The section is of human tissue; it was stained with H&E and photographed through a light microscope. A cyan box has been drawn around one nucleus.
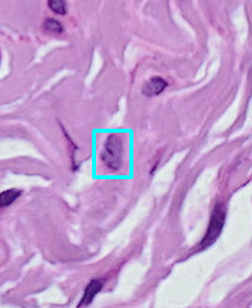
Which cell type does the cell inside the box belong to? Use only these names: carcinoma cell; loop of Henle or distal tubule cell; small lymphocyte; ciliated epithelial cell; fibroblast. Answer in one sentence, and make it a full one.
The expected answer is simply that the cell inside the box is a fibroblast.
